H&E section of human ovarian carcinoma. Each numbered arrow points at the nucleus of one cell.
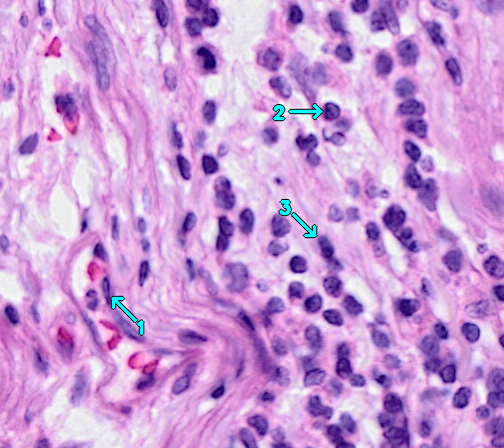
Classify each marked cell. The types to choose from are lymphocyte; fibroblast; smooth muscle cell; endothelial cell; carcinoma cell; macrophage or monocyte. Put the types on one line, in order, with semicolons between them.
endothelial cell; lymphocyte; lymphocyte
